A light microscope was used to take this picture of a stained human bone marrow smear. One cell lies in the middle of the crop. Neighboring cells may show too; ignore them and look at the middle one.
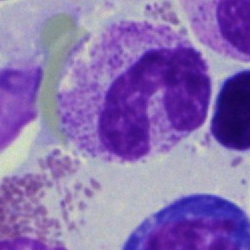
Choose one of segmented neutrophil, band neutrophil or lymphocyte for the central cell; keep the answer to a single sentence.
The cell centered in this field of view is a band neutrophil.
